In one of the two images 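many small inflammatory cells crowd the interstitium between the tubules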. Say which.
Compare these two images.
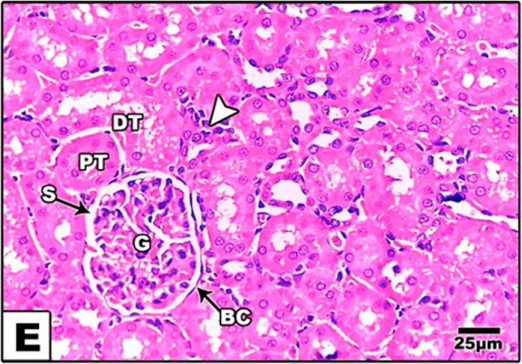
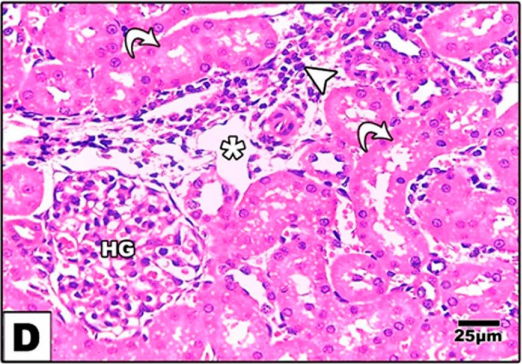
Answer: The second image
